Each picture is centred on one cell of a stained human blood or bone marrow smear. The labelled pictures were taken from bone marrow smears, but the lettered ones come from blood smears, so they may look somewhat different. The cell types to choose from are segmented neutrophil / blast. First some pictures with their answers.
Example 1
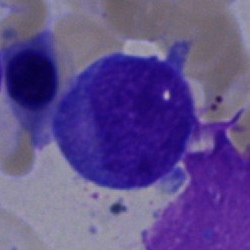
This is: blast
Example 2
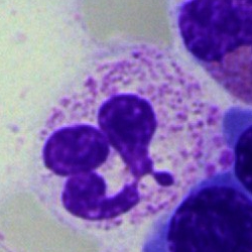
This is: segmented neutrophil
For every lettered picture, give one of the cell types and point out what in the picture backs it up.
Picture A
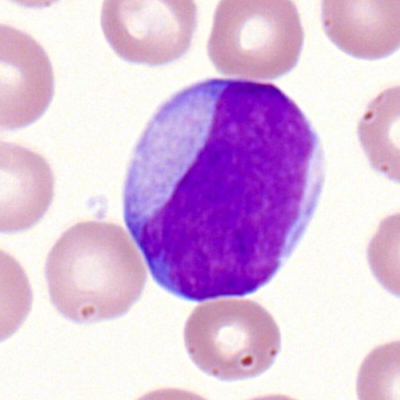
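blast. Reason: The nucleus is a single unlobed mass filling most of the cell.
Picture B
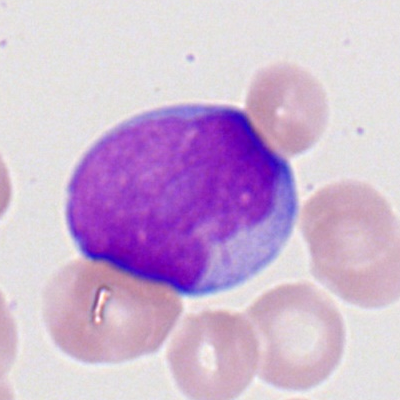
blast. Reason: The cytoplasm is scant and stains pale blue.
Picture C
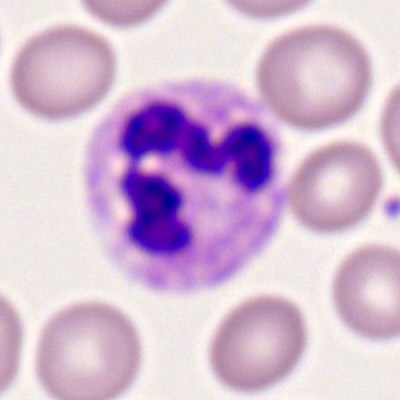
segmented neutrophil. Reason: The cytoplasm is plentiful and pale pinkish-lilac.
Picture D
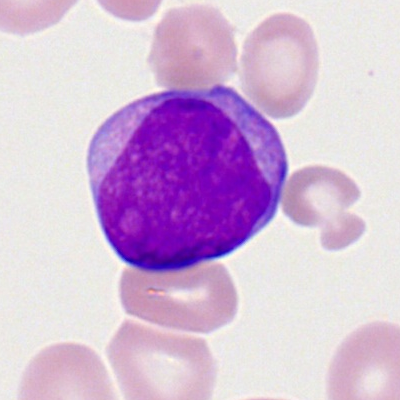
blast. Reason: The nucleus is a single unlobed mass that fills most of the cell.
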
